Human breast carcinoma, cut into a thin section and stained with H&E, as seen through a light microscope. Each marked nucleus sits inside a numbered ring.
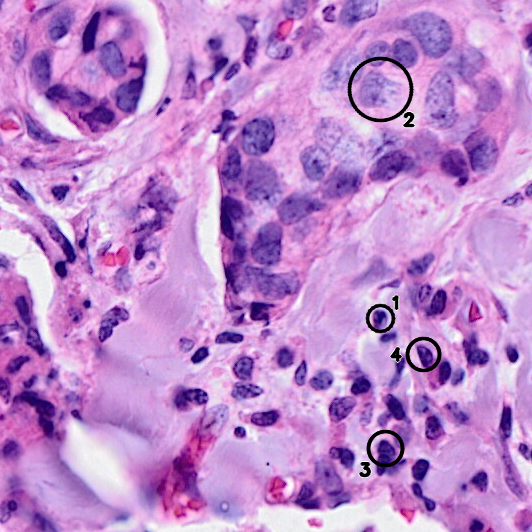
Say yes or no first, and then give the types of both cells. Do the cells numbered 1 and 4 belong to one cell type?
Yes, both are lymphocytes.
